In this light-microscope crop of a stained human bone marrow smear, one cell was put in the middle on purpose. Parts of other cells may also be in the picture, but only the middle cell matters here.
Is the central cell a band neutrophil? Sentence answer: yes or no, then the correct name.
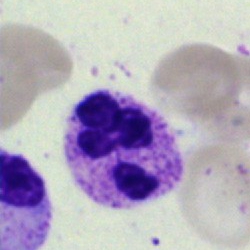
No, the central cell is classed as a segmented neutrophil and not as a band neutrophil.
